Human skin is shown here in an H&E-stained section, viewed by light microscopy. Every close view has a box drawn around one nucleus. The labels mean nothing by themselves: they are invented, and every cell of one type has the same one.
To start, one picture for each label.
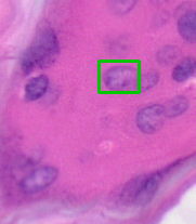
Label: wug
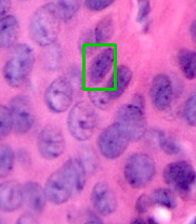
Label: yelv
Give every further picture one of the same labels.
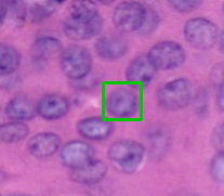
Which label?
wug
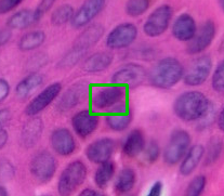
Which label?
yelv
